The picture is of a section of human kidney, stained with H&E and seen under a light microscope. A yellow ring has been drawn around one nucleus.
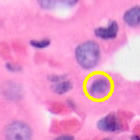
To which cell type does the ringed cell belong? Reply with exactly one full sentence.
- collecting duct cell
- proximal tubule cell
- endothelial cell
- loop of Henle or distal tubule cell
Within this tissue, the ringed cell is a loop of Henle or distal tubule cell.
